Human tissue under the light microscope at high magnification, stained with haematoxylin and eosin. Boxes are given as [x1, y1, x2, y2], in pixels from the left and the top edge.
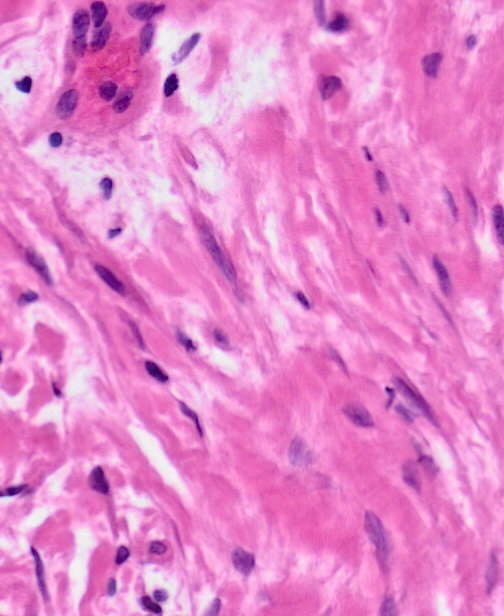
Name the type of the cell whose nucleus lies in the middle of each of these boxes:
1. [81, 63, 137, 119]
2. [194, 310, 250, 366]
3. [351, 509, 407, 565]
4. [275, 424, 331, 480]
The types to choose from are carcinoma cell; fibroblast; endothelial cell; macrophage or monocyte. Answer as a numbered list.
1. endothelial cell
2. fibroblast
3. fibroblast
4. fibroblast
